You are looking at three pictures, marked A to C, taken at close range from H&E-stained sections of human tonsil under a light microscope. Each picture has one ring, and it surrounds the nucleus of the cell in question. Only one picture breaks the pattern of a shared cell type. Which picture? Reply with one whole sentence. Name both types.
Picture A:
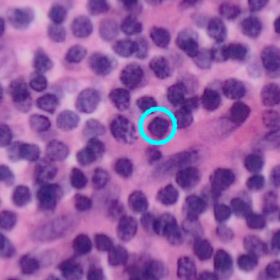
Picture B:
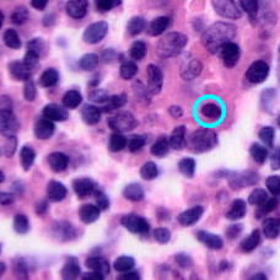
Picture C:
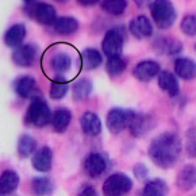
The others show small lymphocytes, but picture B shows an endothelial cell.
